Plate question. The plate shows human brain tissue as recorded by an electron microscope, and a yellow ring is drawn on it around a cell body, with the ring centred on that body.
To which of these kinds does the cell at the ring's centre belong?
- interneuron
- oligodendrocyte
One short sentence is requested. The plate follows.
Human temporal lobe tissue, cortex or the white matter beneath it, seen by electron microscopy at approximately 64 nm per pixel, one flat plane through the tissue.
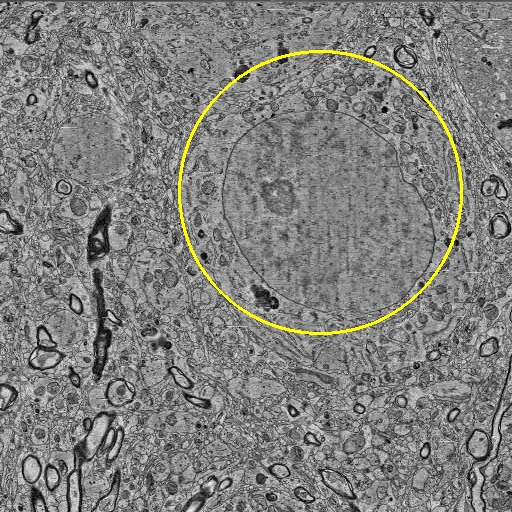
The cell at the ring's centre is an interneuron.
